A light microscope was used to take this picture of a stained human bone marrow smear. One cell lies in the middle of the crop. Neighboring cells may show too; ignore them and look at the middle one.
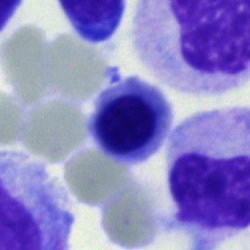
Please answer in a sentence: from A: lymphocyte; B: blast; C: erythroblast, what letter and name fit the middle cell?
That middle cell is an erythroblast, and option C is therefore correct.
